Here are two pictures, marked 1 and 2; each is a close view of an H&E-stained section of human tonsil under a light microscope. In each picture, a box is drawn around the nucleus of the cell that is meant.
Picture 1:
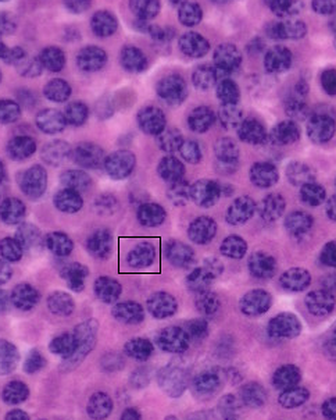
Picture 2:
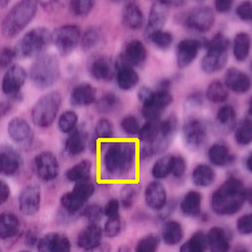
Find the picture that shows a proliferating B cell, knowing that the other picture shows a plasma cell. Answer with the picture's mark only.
2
